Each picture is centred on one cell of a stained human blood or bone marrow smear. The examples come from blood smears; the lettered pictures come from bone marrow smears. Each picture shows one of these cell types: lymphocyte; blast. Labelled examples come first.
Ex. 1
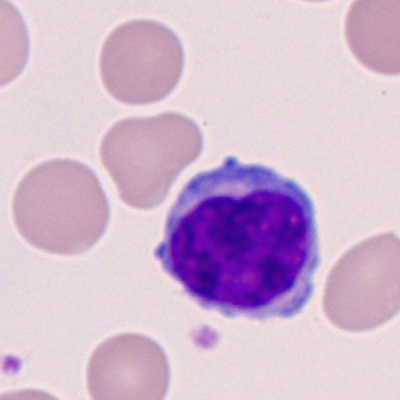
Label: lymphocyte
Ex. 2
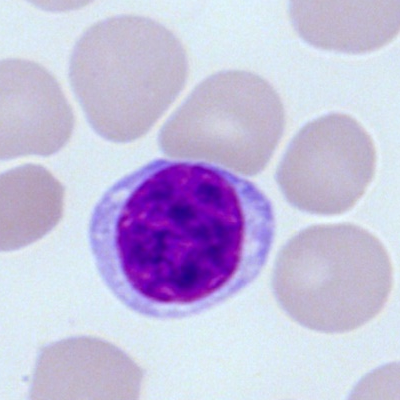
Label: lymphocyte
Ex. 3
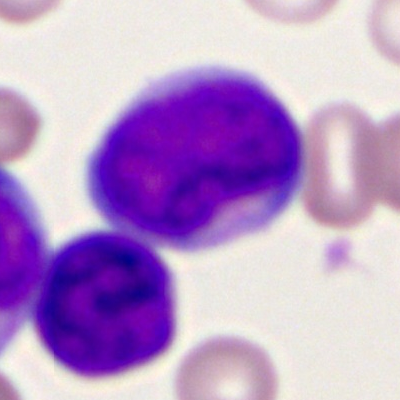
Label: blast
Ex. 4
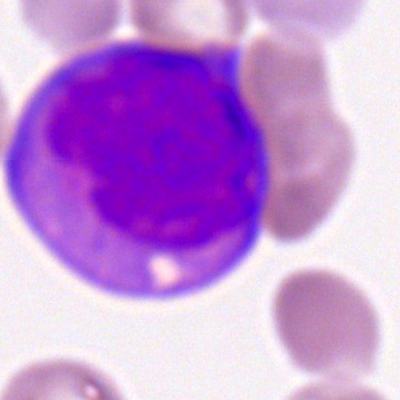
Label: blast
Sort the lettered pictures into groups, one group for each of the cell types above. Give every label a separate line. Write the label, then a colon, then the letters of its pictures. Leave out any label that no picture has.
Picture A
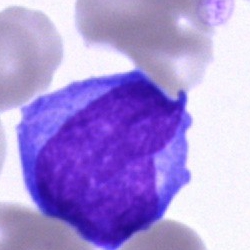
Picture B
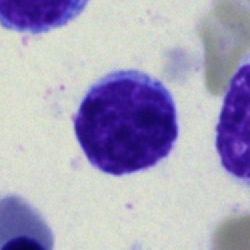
lymphocyte: B
blast: A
